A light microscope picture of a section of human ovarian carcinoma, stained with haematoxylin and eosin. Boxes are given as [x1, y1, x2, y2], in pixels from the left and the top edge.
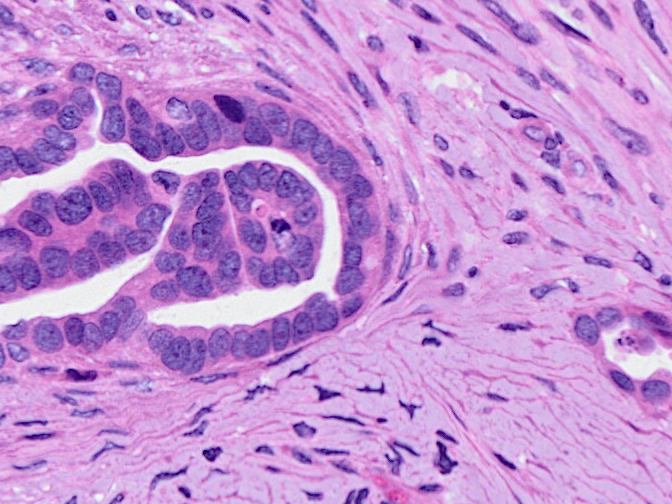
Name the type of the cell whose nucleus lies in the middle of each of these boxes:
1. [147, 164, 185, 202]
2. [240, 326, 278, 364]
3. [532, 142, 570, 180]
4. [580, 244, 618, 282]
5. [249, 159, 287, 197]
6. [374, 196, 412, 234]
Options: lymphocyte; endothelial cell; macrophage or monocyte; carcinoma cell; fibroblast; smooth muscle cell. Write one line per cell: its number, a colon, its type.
1: macrophage or monocyte
2: carcinoma cell
3: fibroblast
4: fibroblast
5: carcinoma cell
6: fibroblast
